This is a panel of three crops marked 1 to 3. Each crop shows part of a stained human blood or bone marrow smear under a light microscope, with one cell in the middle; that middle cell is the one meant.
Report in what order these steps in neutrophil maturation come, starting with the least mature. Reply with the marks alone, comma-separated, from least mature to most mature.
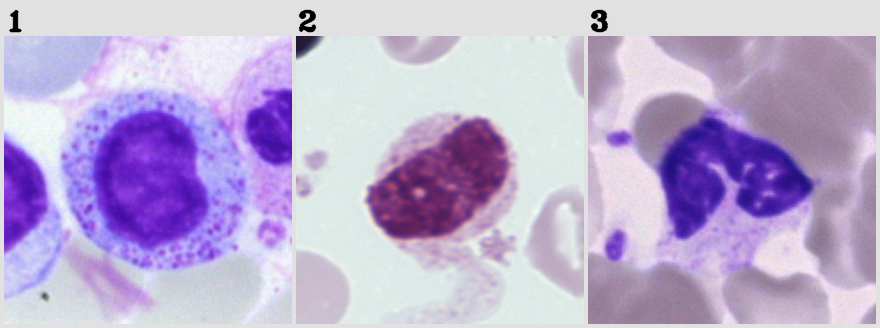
1, 2, 3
